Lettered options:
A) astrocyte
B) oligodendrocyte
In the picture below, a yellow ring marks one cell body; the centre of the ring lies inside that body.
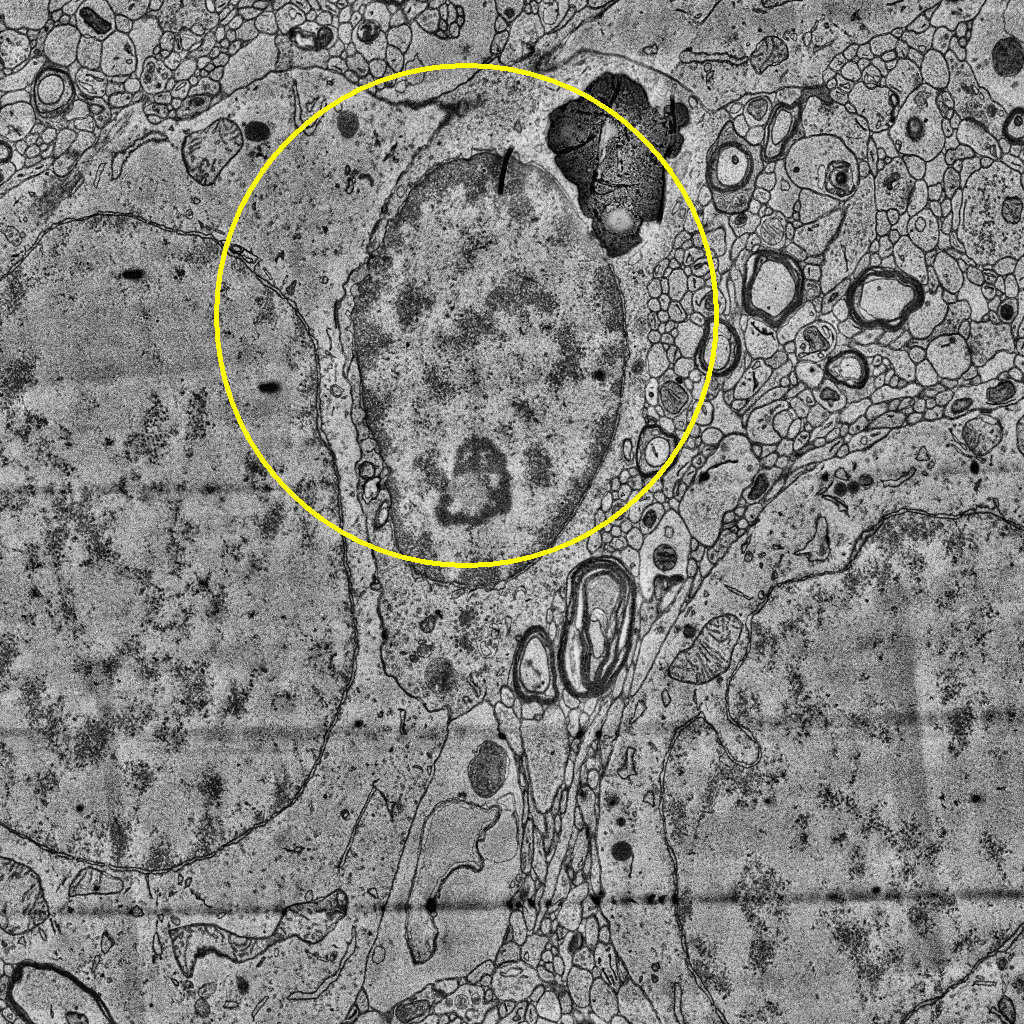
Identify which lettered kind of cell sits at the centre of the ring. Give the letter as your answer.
B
